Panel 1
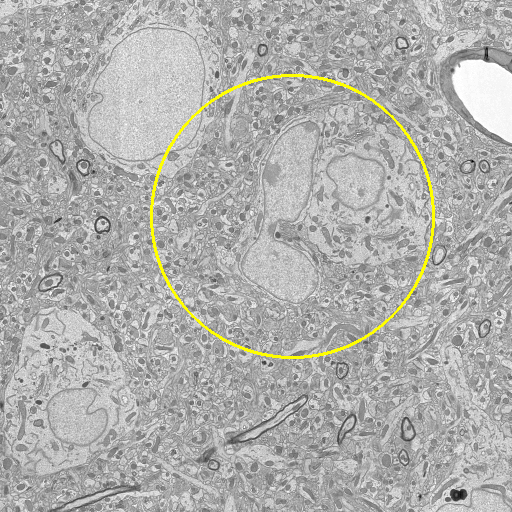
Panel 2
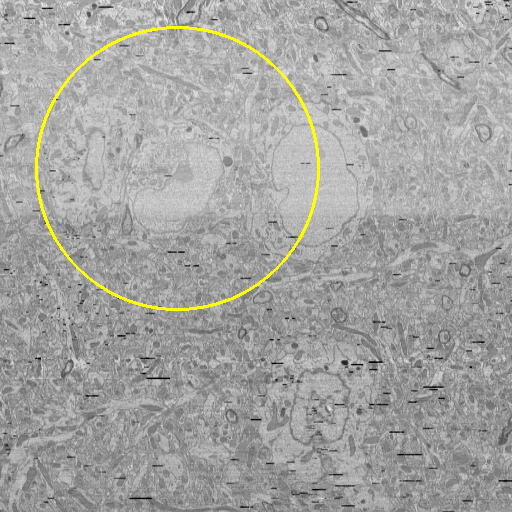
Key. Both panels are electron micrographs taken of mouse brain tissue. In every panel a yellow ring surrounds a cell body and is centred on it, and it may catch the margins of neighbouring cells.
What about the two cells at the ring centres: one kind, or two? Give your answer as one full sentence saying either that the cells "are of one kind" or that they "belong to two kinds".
Across Panels 1 and 2, the two cells at the ring centres are of one kind.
